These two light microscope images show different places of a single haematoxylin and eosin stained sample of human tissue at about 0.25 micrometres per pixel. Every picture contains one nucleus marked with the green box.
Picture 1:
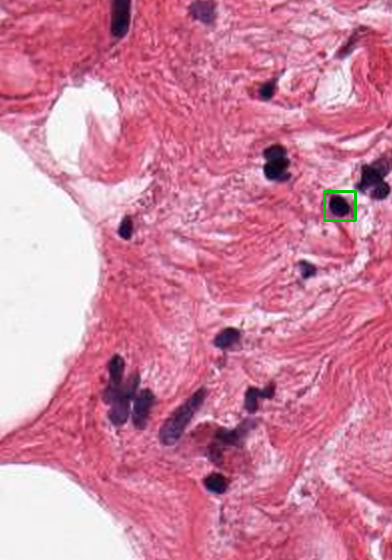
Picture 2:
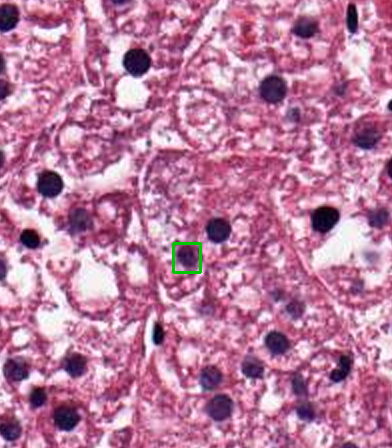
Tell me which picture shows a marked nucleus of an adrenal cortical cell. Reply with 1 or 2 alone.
2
